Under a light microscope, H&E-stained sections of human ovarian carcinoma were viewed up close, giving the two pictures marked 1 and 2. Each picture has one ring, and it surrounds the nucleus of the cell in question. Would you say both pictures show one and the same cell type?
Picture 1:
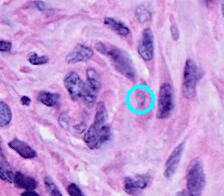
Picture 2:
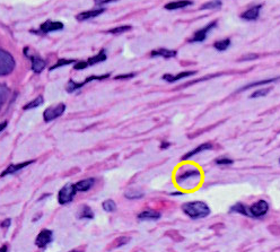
yes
